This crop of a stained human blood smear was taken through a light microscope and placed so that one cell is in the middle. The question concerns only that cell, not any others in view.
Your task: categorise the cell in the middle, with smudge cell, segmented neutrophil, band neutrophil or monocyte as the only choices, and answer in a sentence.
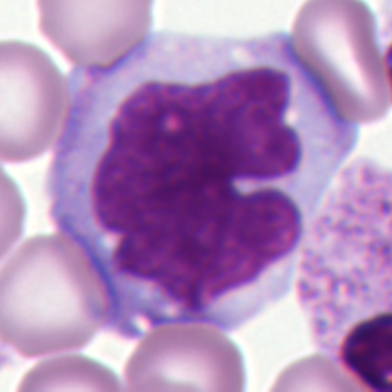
The crop centres on a single cell, and that cell is a monocyte.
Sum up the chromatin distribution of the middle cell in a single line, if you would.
The chromatin is fine; coarse clumps are not a feature here.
